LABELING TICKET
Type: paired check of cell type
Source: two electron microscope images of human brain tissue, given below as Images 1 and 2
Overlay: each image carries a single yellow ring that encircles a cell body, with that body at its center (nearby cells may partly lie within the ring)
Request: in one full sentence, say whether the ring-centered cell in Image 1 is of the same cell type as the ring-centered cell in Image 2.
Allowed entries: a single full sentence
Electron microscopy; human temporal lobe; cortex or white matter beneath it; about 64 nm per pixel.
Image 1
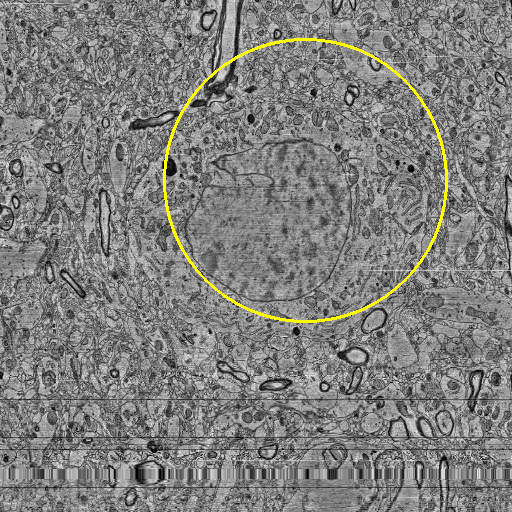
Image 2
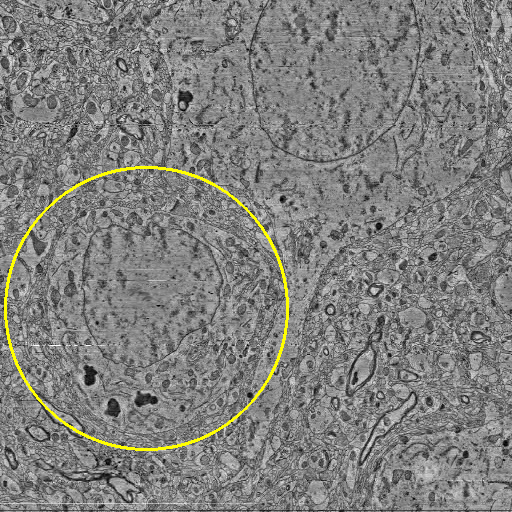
Yes, the cells centered in the rings of Image 1 and Image 2 share one type.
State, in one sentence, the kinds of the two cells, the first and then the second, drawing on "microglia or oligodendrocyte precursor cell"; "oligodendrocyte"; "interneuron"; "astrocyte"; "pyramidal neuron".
Each of the two pictures has an interneuron at the ring centre.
